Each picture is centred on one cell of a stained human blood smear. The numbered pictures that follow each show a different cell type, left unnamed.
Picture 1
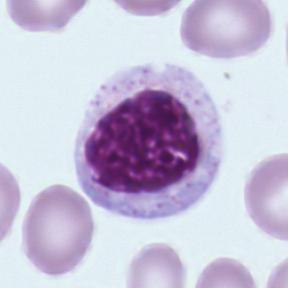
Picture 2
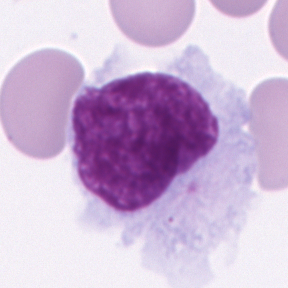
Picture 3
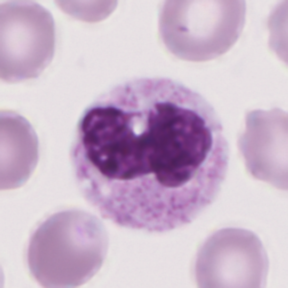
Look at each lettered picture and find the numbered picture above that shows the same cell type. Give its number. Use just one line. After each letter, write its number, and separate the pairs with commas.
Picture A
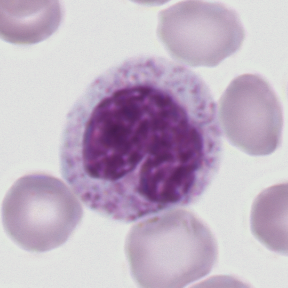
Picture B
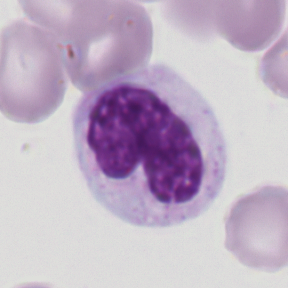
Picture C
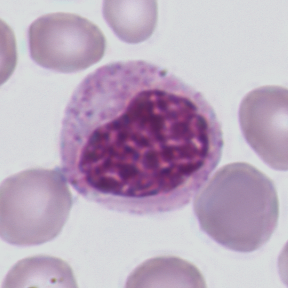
A 3, B 3, C 1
